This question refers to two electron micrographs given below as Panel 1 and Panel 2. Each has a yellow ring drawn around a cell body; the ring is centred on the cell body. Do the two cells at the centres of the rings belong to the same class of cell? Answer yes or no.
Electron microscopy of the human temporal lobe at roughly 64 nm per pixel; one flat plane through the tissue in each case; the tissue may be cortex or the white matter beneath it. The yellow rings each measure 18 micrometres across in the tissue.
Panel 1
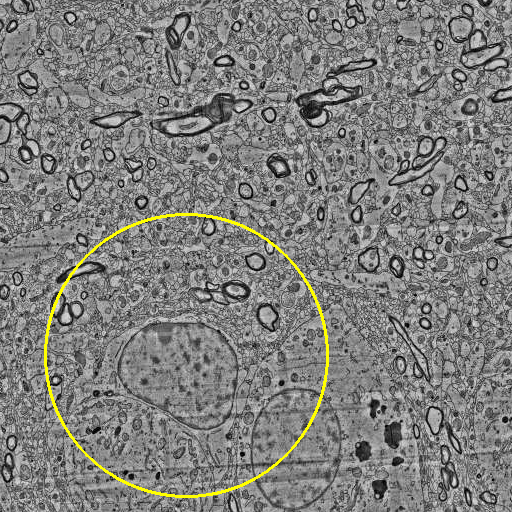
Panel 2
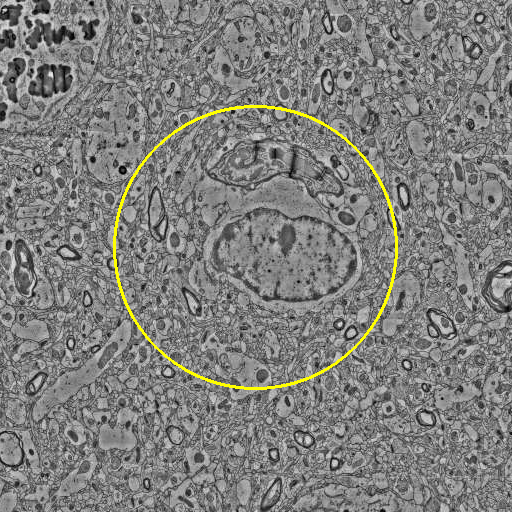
yes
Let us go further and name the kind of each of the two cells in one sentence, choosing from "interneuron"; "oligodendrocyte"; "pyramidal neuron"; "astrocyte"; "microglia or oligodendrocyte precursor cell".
In each of the two pictures, the ringed cell is a microglial cell or oligodendrocyte precursor cell.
